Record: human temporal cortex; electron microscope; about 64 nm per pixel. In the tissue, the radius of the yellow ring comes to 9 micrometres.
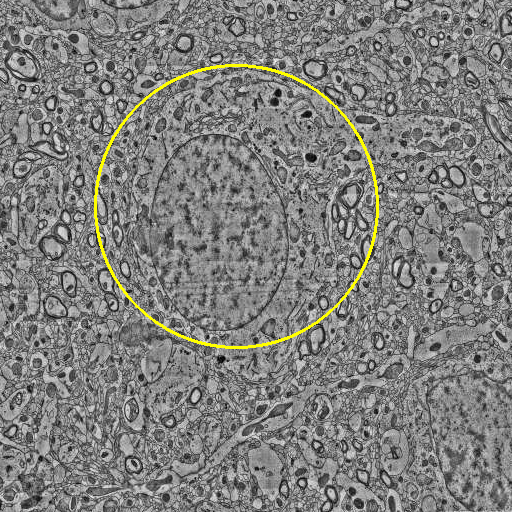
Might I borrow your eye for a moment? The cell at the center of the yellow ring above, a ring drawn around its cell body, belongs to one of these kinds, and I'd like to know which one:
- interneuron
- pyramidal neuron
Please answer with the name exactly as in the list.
interneuron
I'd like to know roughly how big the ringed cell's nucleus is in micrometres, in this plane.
The ringed cell's nucleus measures approximately 12 by 9 micrometres in this plane.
